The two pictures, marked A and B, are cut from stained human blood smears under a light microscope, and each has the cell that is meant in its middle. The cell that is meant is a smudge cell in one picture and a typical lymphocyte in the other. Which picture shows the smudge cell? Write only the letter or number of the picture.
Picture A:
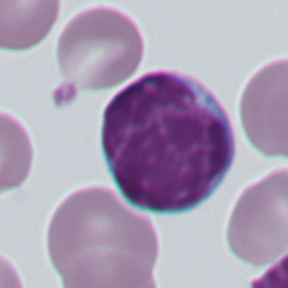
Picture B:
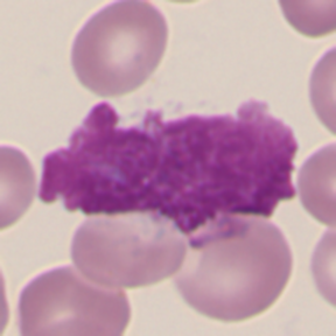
B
